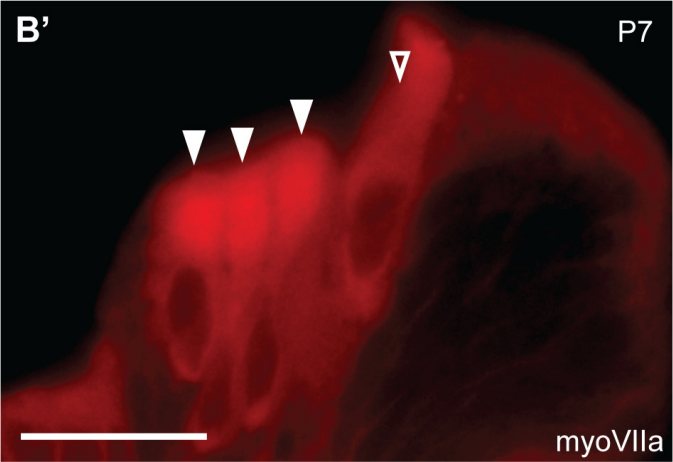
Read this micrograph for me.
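Three outer hair cells sit side by side at the epithelial surface, each brightest at its apical end with a dark oval nucleus lower in the cell body. Beyond it a broad mass of unlabeled cells forms a darker ridge. The surrounding epithelium shows only faint red background.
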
